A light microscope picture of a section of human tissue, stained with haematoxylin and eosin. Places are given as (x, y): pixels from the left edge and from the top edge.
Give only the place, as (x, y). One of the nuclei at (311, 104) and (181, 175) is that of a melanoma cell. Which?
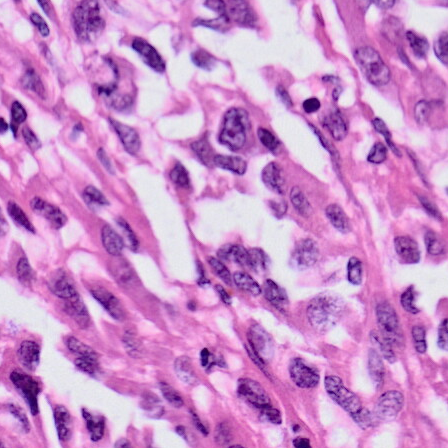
(181, 175)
